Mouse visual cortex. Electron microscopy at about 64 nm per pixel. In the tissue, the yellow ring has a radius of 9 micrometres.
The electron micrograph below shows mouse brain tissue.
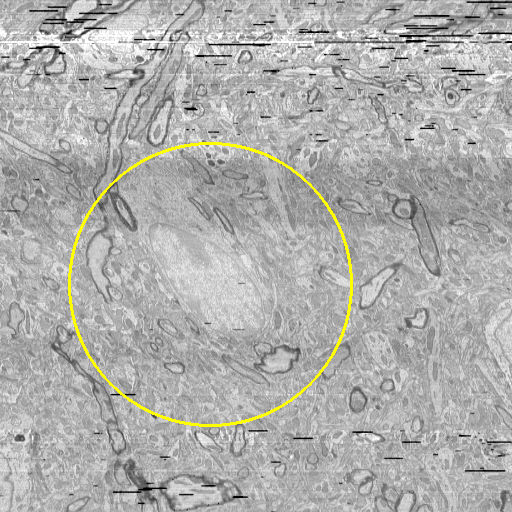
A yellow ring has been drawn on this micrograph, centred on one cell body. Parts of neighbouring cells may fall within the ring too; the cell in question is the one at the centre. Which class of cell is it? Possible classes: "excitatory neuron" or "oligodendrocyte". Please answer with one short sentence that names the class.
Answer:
In the centre of the ring sits an oligodendrocyte.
